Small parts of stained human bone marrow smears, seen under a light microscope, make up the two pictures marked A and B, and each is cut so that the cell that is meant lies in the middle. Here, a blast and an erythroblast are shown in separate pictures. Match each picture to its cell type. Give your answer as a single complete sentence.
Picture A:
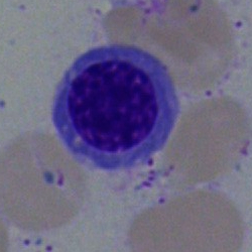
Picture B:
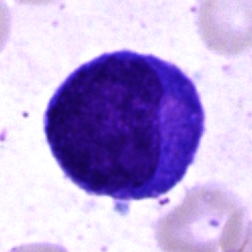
It is picture A that shows an erythroblast, and picture B that shows a blast.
